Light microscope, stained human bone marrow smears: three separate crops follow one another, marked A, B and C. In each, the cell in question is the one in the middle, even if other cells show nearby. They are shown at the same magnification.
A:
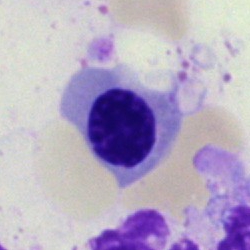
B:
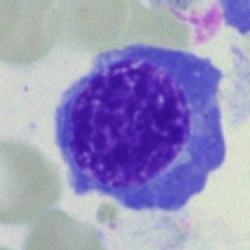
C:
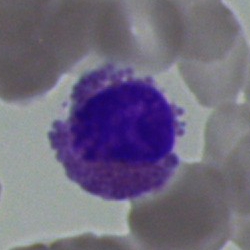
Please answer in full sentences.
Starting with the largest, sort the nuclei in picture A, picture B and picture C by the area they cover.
From the largest down, the order is B, C, A.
